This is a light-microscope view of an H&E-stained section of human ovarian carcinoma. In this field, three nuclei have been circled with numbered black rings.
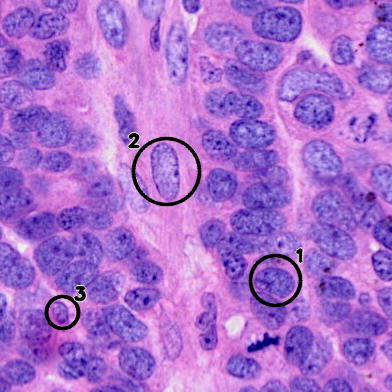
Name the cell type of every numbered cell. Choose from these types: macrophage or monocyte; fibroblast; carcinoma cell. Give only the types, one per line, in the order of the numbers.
carcinoma cell
fibroblast
macrophage or monocyte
